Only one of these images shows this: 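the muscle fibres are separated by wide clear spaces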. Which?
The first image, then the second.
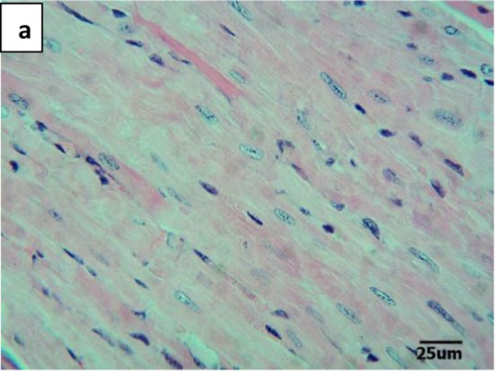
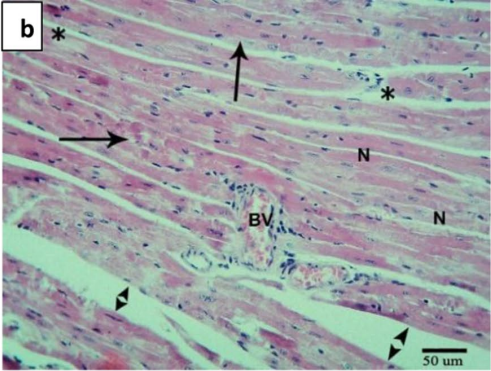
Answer: The second image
